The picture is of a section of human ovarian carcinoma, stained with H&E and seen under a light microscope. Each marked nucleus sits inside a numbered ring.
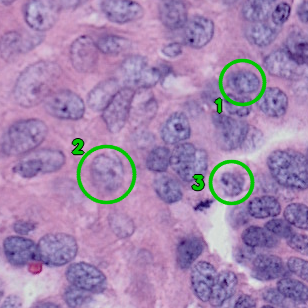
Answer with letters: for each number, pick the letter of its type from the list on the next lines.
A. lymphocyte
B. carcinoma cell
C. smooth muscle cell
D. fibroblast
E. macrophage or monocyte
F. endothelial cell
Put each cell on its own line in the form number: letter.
1: B
2: D
3: E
